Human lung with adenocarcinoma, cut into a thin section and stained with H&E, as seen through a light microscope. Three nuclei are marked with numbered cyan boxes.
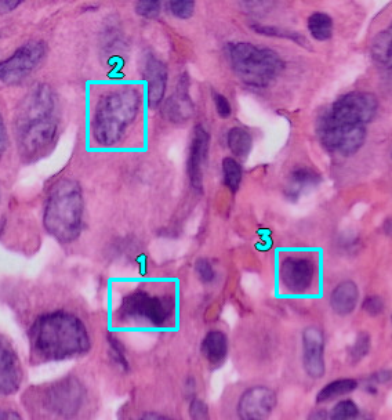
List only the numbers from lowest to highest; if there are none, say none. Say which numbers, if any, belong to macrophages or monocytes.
3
